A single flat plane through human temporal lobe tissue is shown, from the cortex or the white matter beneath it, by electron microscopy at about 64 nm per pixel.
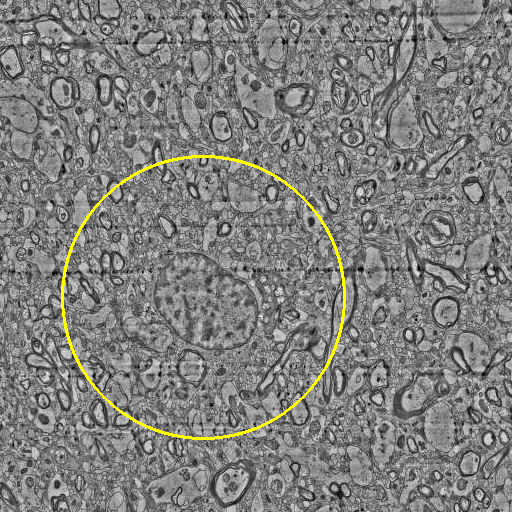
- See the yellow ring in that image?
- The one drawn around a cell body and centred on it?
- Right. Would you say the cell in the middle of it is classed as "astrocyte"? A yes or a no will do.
no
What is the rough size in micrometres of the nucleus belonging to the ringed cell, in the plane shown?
The nucleus has a long axis of about 7 micrometres and a short axis of about 5 micrometres in this plane.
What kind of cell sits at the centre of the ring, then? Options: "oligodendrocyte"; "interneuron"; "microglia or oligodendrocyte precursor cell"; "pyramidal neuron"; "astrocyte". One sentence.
Instead, the picture shows an oligodendrocyte at the centre of the ring.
